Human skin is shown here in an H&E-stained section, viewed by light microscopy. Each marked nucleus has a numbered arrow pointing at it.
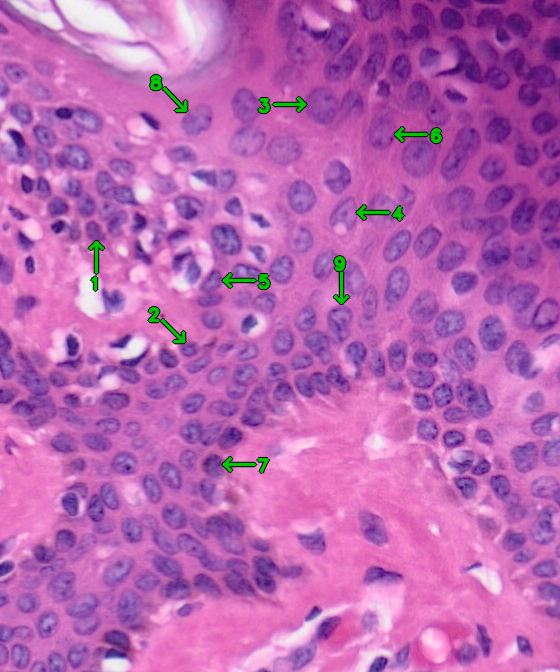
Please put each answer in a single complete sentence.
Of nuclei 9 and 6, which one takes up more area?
Nucleus 6 covers more area, about 1.5 times as much as nucleus 9.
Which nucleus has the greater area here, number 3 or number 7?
Nucleus 3 is the larger one, covering about 4 times the area of nucleus 7.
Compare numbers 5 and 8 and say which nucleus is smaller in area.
It is nucleus 5; nucleus 8 has about 2 times its area.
